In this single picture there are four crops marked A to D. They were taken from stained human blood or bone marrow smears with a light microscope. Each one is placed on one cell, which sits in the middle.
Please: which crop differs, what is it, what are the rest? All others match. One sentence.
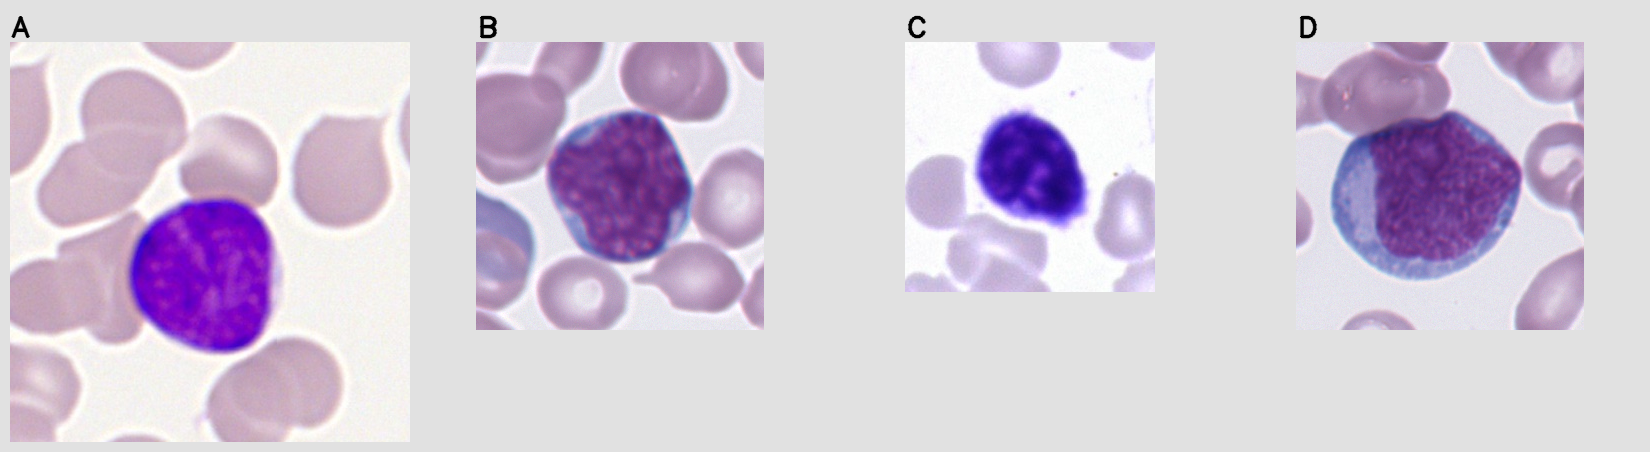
What sets crop C apart is that it shows a lymphocyte, while the others show blasts.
